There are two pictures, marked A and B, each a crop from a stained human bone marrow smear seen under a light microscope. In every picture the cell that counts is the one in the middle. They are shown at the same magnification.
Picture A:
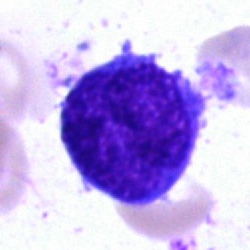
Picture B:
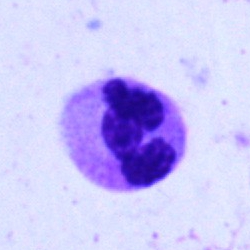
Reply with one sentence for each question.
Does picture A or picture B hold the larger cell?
It is the cell in picture A, about 1.5 times as large in area as the cell in picture B.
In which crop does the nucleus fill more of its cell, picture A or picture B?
It is the cell in picture A that is filled more by its nucleus.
